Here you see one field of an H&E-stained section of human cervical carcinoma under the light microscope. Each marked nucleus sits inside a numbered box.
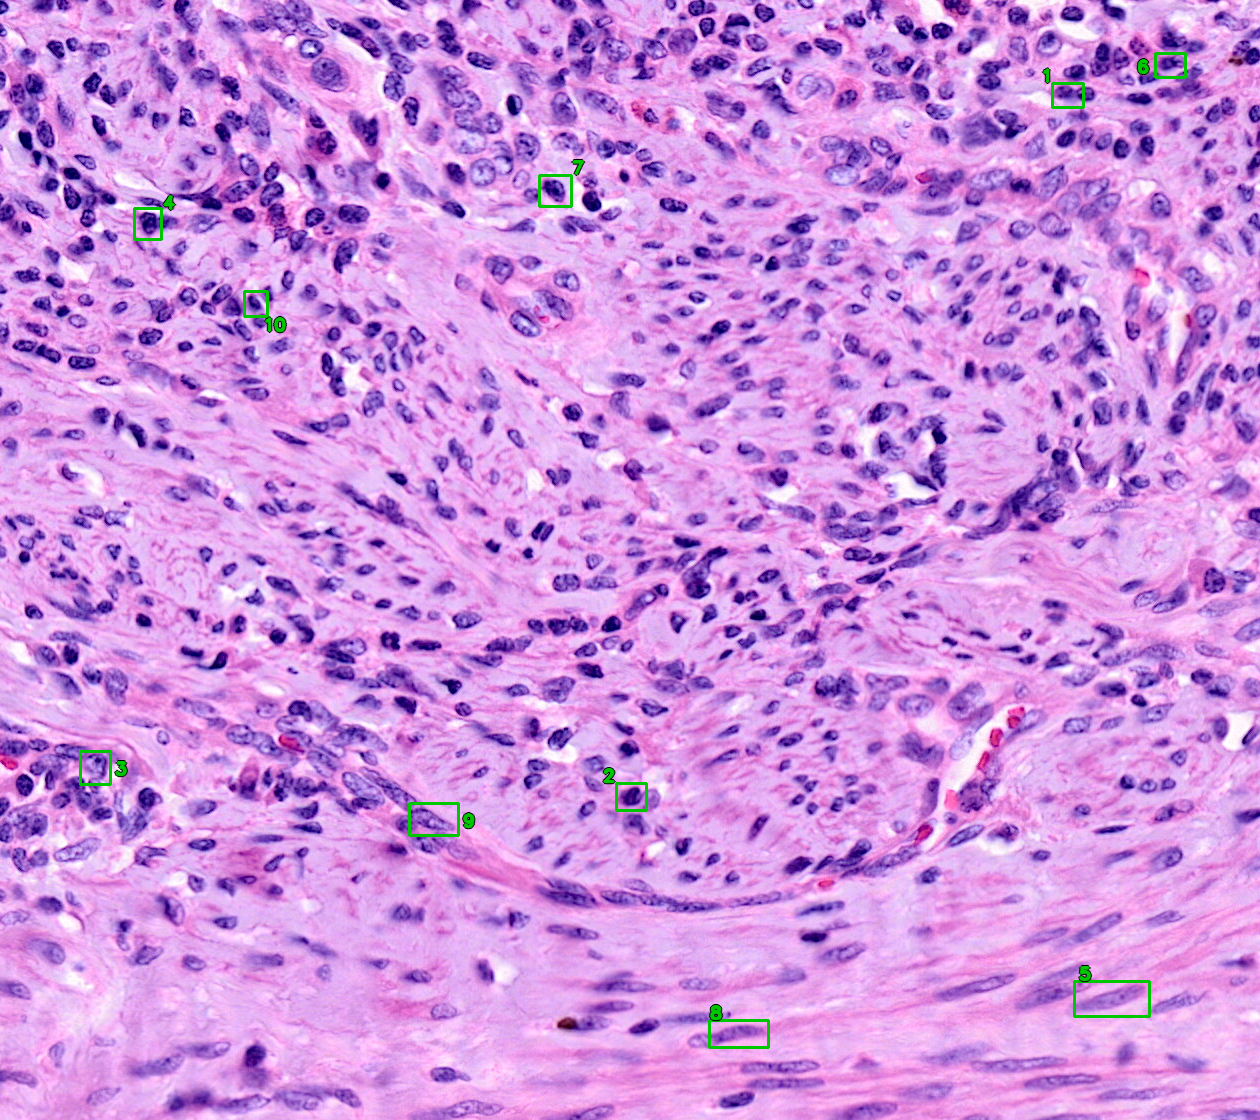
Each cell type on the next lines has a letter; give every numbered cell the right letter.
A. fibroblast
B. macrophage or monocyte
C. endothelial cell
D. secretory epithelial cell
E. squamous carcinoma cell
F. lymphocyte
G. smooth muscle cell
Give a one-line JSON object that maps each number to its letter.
{"1": "F", "2": "F", "3": "C", "4": "F", "5": "G", "6": "F", "7": "F", "8": "G", "9": "C", "10": "F"}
